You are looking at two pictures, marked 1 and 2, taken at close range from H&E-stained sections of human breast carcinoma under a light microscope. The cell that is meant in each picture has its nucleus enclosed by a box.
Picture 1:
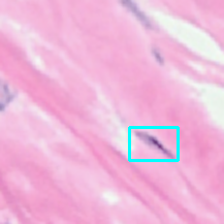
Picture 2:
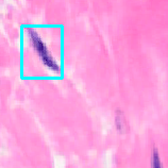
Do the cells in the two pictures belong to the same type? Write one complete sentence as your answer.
Yes; the cells in both pictures are fibroblasts.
